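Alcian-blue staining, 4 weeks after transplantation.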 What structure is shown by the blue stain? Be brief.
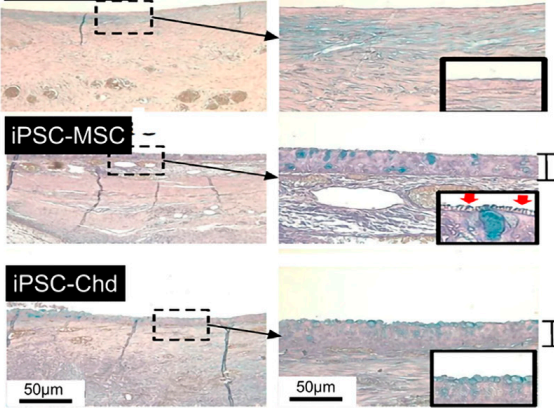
Mucus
